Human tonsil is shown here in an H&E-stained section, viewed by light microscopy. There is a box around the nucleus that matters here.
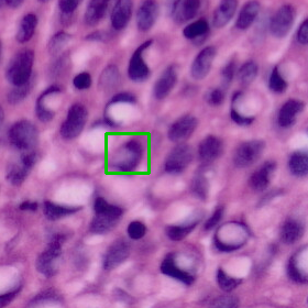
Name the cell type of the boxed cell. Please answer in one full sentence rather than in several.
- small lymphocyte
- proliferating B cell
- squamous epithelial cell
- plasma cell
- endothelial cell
In cellular terms, the boxed cell is a squamous epithelial cell.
